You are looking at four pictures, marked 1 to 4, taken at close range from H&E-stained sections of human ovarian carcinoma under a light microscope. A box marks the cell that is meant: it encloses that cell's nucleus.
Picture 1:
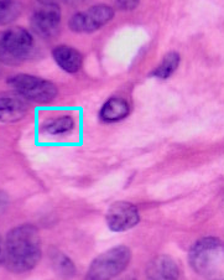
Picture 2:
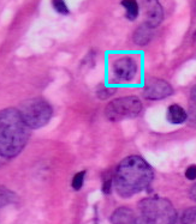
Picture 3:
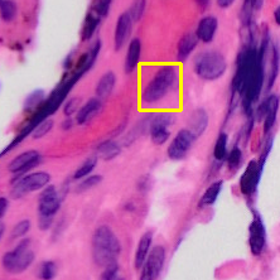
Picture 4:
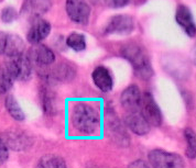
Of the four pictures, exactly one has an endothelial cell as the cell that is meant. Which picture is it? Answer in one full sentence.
It is picture 3 that shows the endothelial cell.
